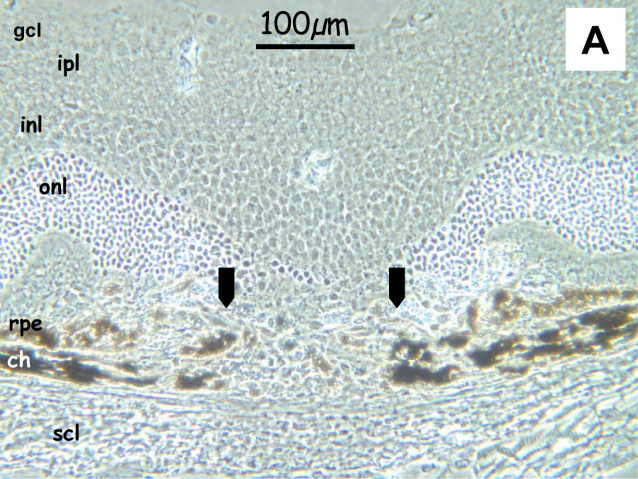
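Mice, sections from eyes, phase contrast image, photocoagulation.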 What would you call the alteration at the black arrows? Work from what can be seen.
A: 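Between the arrows the dark pigmented band beneath the retina is interrupted. Pigment clumps are broken up and scattered at the edges of the gap. On this evidence: localized disruption.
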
